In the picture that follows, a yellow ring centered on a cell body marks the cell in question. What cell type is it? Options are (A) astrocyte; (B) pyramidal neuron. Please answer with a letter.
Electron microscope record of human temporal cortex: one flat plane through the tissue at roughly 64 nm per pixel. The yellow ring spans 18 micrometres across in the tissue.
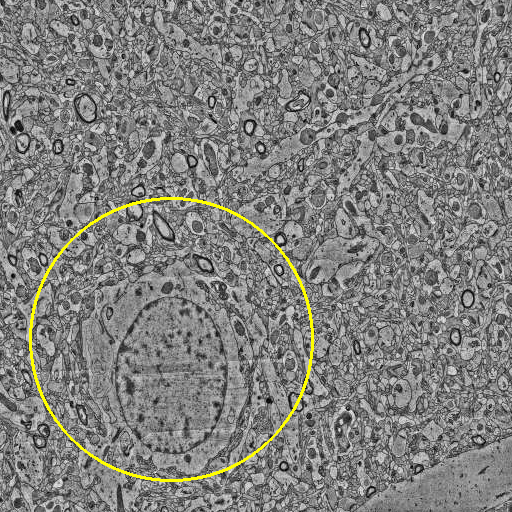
A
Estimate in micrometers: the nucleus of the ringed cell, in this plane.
About 10 by 7 micrometers, in this plane.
